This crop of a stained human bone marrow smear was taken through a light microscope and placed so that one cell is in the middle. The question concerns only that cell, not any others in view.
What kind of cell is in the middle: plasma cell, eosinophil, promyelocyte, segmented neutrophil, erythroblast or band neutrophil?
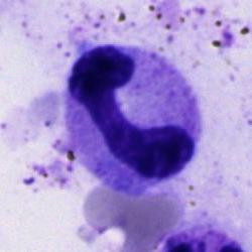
band neutrophil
